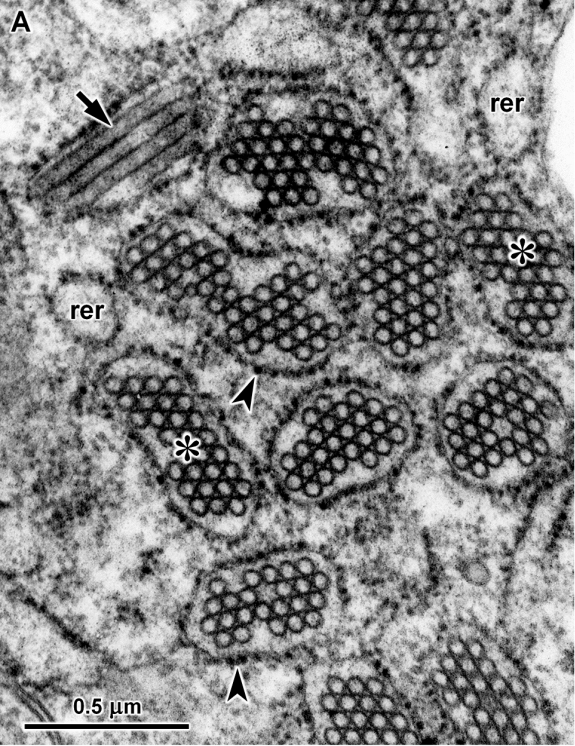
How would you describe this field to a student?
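Many membrane-bound sacs each contain a tightly packed, regular array of small rings with pale centres, the tubules cut in cross section. The membranes around these sacs are studded on their outer face with small dark ribosomes. In one corner the tubules run lengthwise, seen as parallel dark lines. Other cisternae nearby are empty and pale, without tubules. The surrounding cytoplasm is finely granular.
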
